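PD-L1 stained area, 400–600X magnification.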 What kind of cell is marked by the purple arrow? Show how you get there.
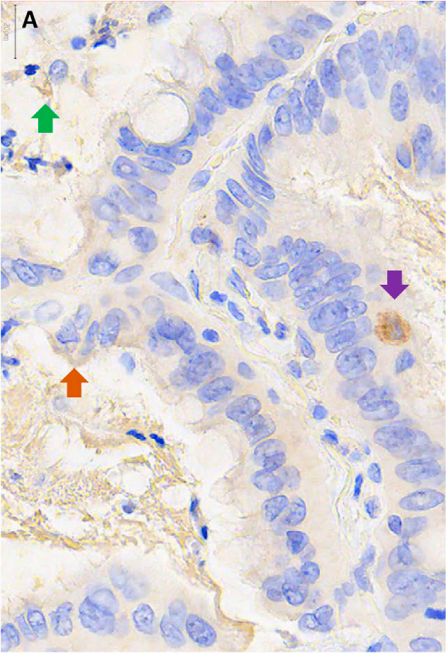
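A small round cell with brown-stained cytoplasm lies at the arrow tip.
Inflammatory cells.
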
